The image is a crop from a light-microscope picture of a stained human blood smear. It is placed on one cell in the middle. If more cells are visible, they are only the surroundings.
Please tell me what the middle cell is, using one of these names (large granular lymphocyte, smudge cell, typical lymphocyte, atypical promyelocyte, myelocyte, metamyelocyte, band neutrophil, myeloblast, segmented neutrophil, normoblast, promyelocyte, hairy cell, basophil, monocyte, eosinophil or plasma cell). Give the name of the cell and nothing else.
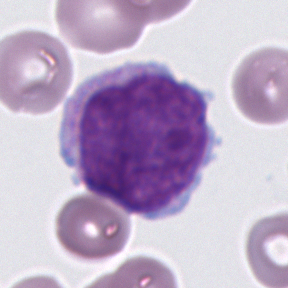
atypical promyelocyte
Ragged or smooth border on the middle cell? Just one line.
Irregular rather than smooth, the cell margin shows ragged areas or projections.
